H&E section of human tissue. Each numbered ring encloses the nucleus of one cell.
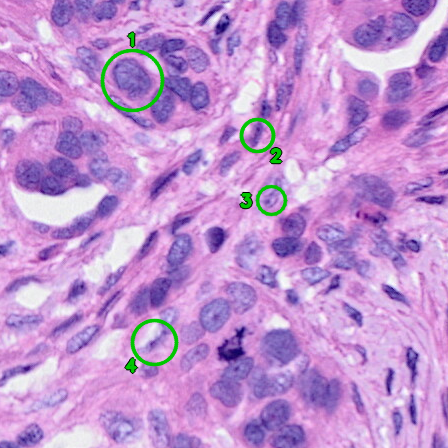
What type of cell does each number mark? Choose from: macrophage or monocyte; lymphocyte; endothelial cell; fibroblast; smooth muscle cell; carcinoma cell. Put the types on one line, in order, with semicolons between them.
carcinoma cell; fibroblast; fibroblast; fibroblast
